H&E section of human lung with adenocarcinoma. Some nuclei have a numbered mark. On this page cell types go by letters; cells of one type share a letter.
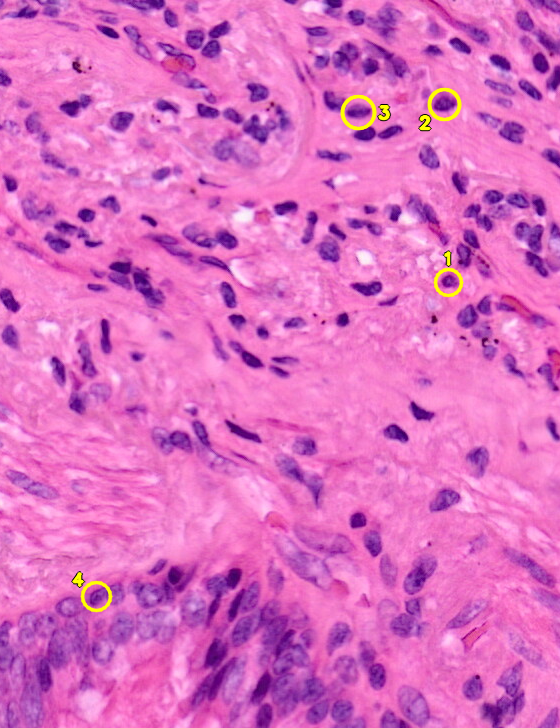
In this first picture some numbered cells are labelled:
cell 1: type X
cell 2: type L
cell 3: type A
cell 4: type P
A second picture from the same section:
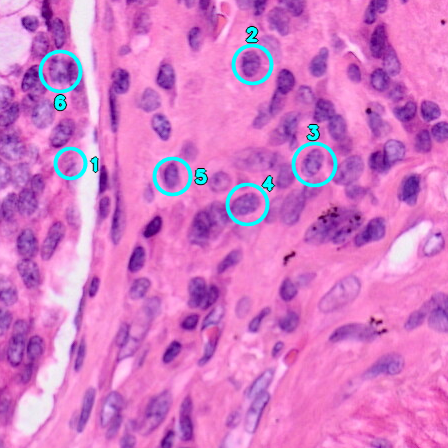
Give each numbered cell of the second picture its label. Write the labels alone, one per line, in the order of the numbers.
type P
type L
type X
type X
type L
type P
